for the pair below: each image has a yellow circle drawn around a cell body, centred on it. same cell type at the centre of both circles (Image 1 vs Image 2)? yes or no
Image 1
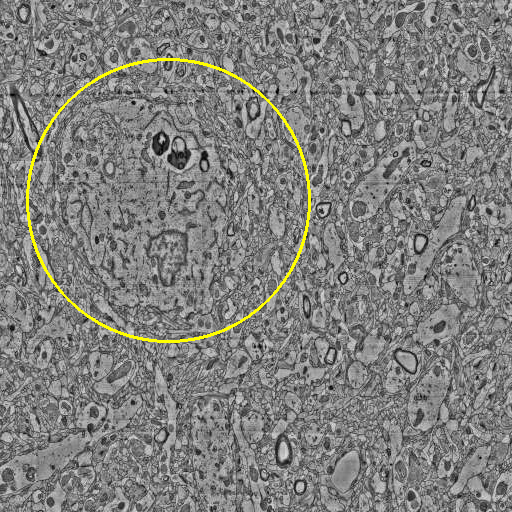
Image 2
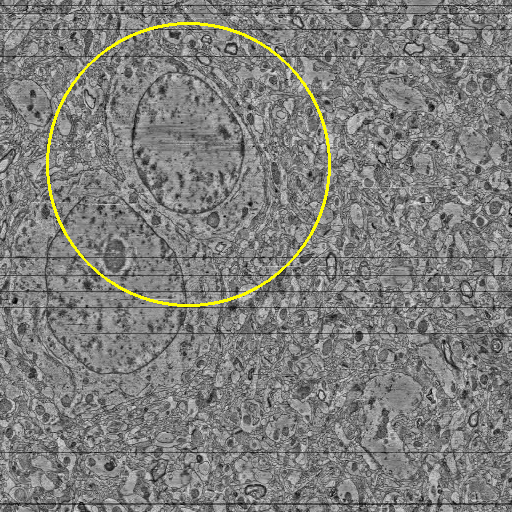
yes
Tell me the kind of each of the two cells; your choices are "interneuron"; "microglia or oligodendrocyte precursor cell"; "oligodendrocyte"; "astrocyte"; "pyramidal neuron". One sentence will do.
The ring centre holds a pyramidal neuron in each of the two pictures.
